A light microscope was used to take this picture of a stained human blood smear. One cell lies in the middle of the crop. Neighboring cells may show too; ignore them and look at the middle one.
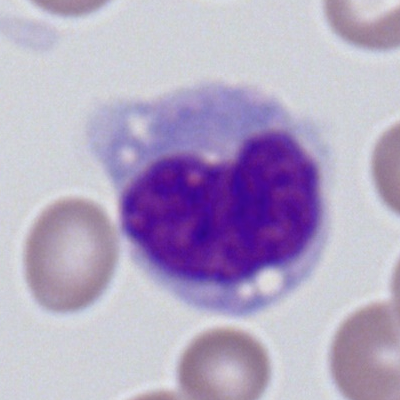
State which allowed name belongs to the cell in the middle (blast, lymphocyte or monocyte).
monocyte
